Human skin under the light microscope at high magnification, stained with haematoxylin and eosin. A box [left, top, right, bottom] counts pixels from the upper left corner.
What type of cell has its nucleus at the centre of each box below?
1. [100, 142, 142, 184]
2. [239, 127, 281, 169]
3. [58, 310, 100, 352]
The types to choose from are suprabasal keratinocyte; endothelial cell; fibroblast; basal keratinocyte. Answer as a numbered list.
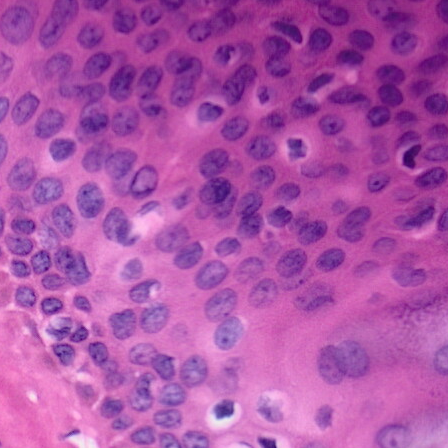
1. suprabasal keratinocyte
2. suprabasal keratinocyte
3. basal keratinocyte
